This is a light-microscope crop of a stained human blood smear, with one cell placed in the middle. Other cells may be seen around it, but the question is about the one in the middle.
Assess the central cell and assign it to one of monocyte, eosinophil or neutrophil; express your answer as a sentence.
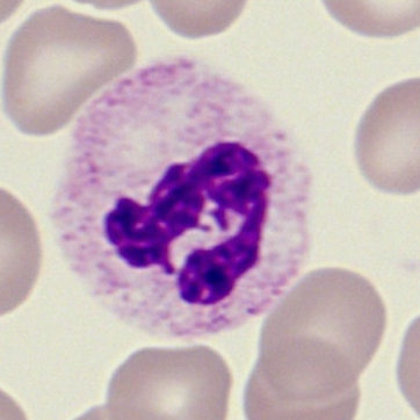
For this crop, the central cell is a neutrophil.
